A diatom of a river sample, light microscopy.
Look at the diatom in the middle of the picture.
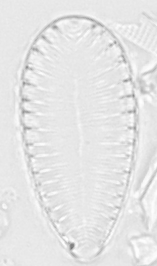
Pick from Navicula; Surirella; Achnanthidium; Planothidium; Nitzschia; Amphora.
Surirella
